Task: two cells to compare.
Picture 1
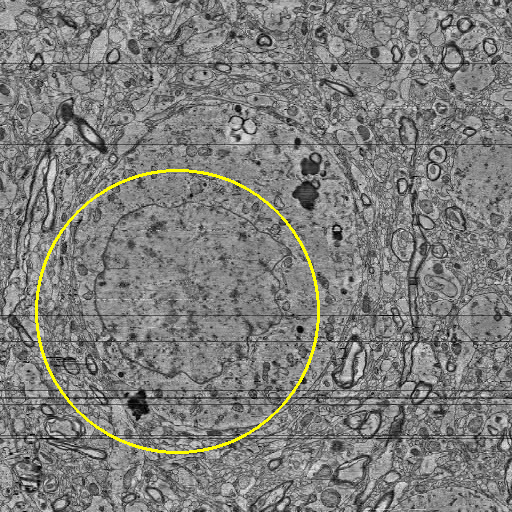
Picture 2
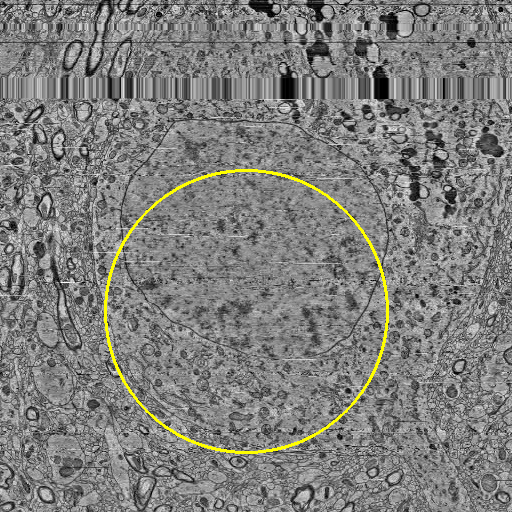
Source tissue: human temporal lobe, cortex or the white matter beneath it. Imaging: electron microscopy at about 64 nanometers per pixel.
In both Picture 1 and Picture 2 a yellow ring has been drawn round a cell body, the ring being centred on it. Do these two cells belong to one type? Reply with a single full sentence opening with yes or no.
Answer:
Yes, the two cells at the ring centres in Picture 1 and Picture 2 share one type.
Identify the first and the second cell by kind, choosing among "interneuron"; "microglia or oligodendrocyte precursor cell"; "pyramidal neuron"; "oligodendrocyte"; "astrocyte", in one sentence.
The first and the second cell are each a pyramidal neuron.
